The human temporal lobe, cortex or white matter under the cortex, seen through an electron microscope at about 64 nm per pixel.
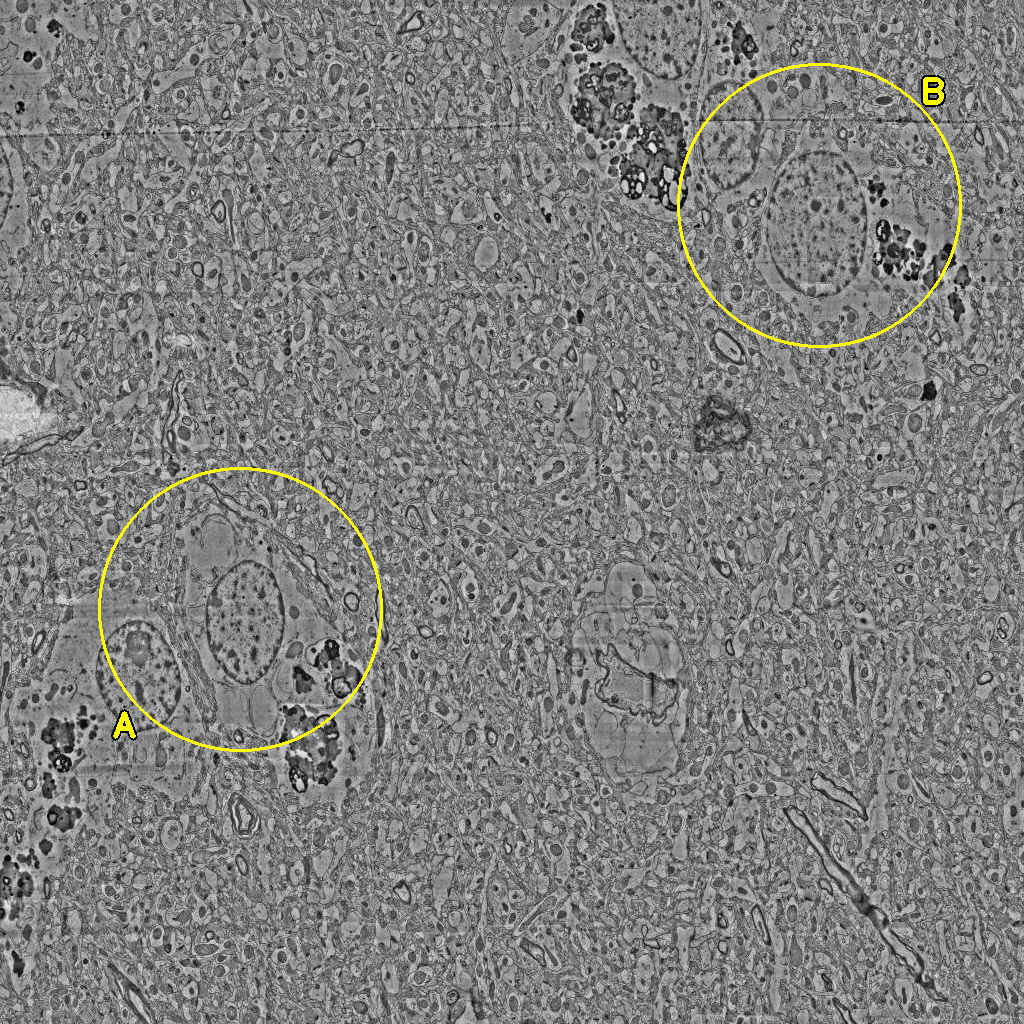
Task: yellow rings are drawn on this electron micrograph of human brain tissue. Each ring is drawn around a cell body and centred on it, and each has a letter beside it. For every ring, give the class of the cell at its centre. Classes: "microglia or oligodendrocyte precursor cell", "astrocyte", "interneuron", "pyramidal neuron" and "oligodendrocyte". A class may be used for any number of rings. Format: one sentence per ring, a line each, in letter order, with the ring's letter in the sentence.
The cell ringed as A is an astrocyte.
The cell ringed as B is an astrocyte.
